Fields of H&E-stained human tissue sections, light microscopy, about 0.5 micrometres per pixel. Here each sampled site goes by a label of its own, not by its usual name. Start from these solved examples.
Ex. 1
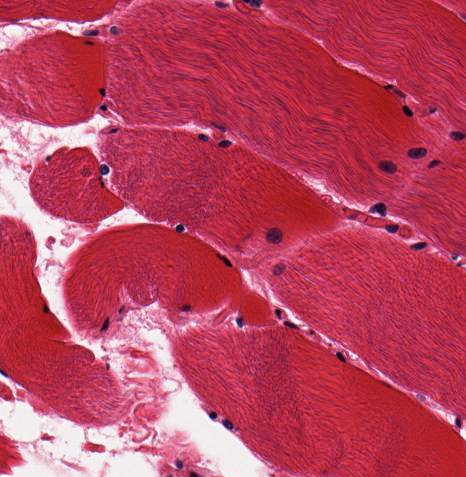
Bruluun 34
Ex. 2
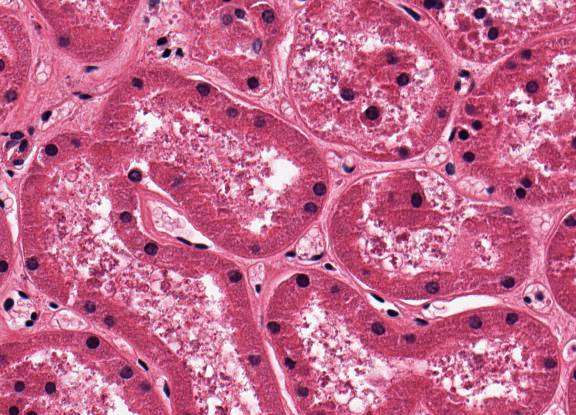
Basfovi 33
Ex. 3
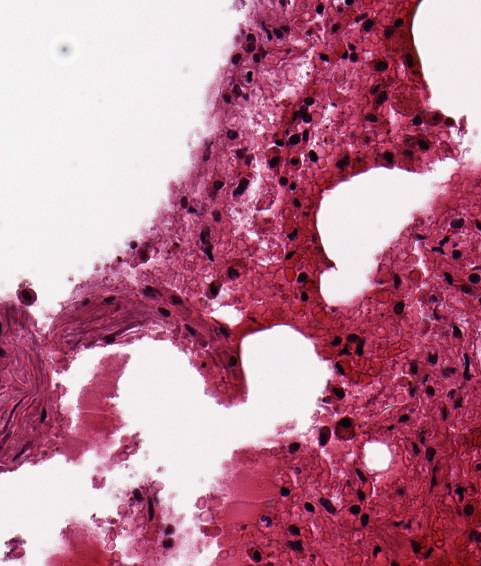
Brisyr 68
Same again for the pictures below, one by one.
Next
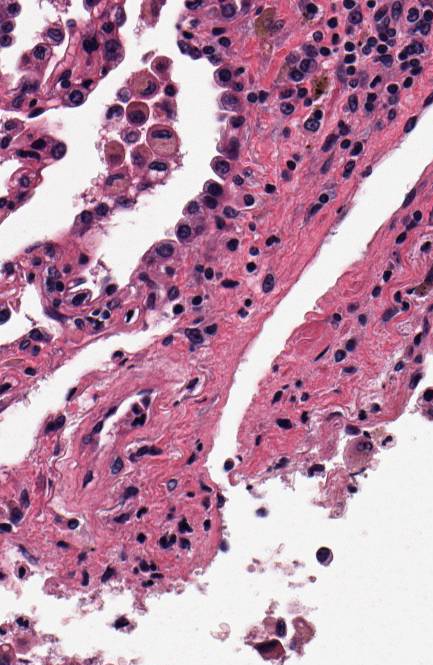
Brisyr 68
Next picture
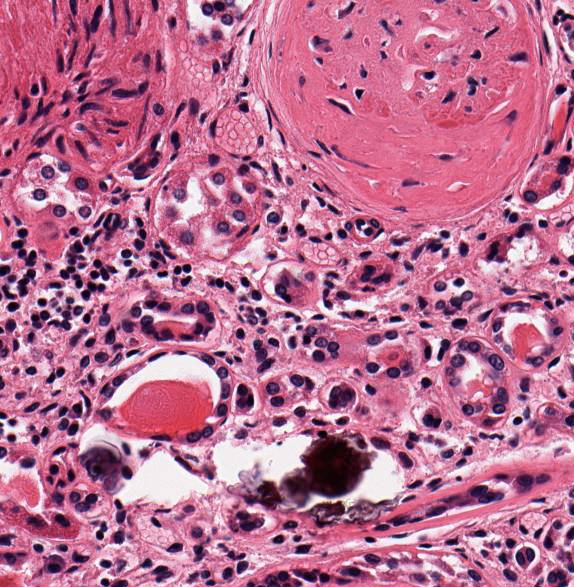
Basfovi 33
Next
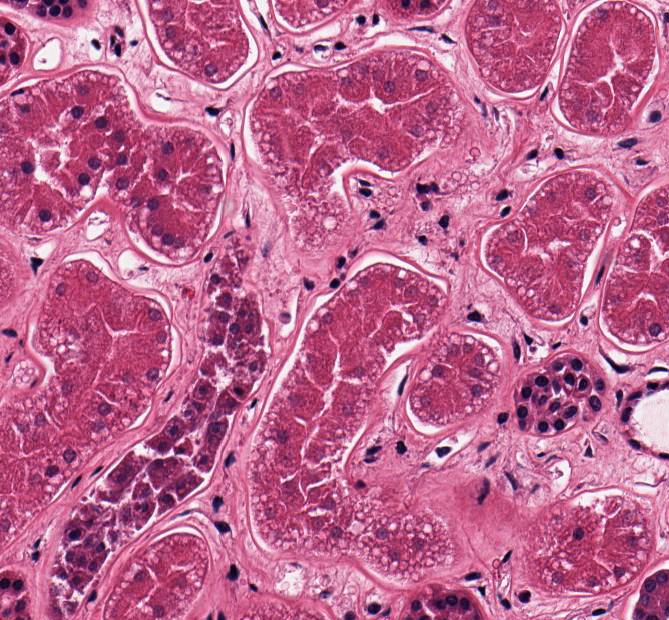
Basfovi 33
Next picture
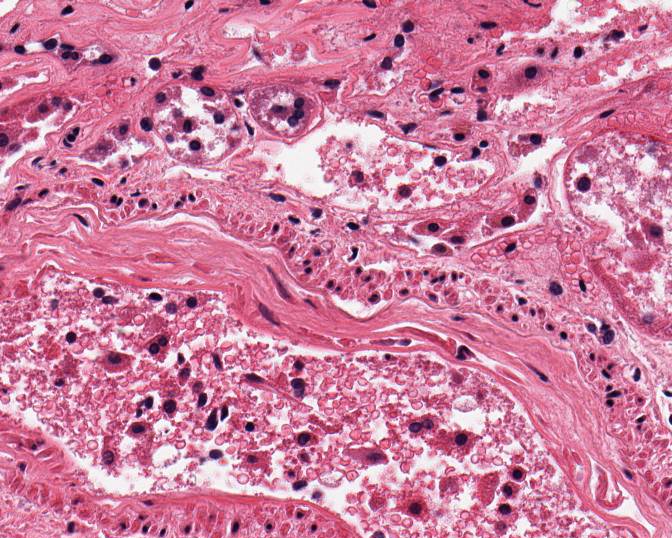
Basfovi 33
